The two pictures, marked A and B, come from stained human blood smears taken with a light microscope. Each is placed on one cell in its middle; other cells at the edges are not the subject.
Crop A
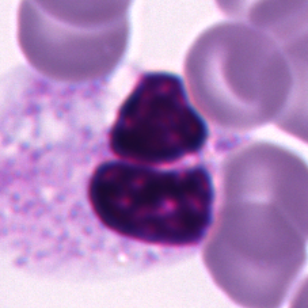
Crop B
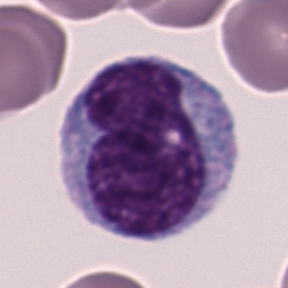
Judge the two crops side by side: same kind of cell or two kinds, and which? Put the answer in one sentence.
No, it is in crop A that a segmented neutrophil is shown, and in crop B that a monocyte is shown.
